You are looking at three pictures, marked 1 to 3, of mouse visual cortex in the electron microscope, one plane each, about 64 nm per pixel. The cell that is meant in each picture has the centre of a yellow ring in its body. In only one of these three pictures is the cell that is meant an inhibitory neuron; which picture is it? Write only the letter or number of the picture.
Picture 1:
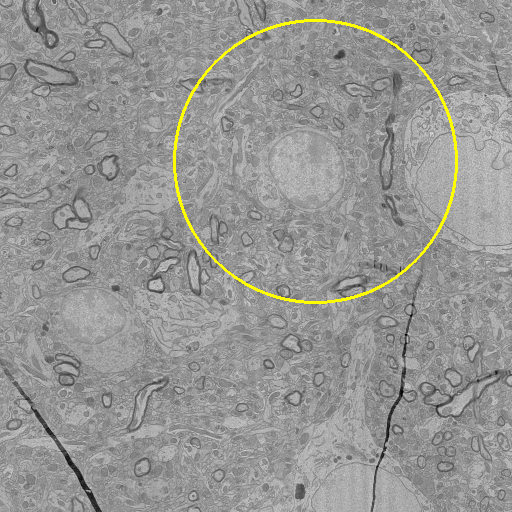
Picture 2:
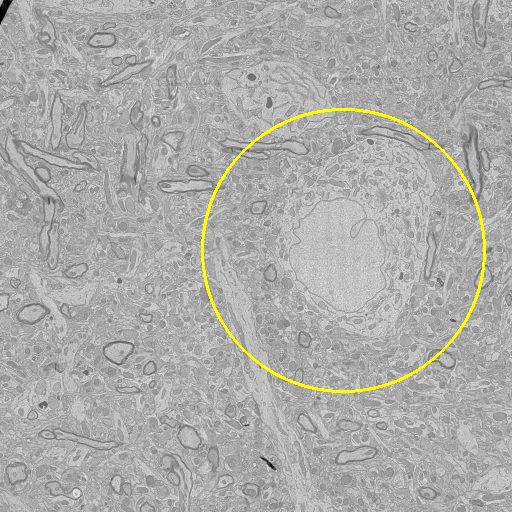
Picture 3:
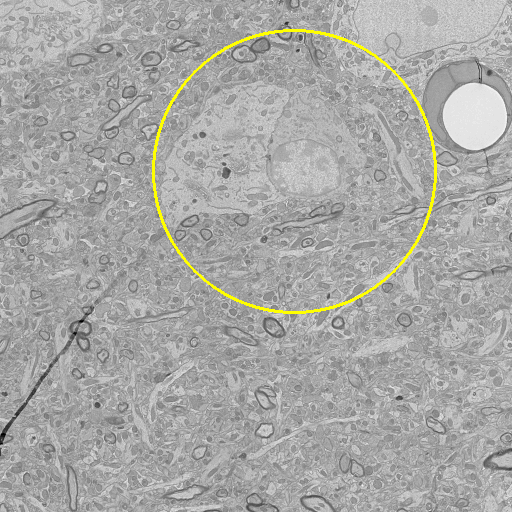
2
